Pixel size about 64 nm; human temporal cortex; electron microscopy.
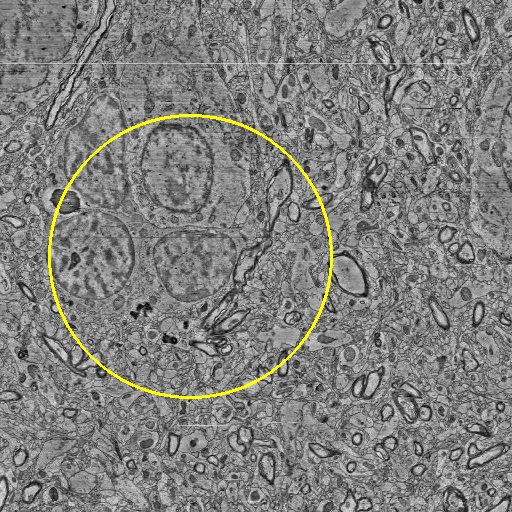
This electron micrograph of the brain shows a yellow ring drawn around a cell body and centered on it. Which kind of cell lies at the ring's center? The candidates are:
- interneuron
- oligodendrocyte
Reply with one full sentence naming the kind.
The cell lying at the ring's center in this micrograph is an oligodendrocyte.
